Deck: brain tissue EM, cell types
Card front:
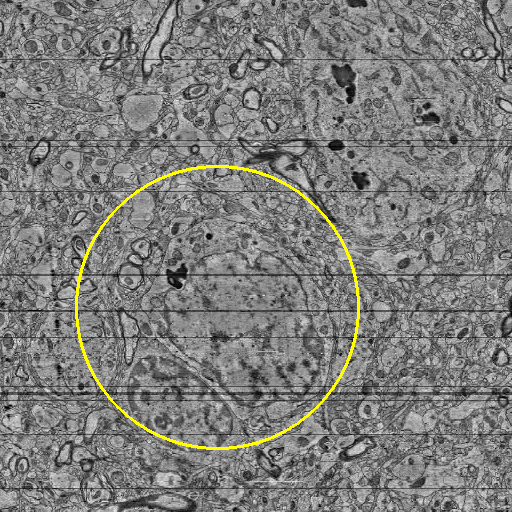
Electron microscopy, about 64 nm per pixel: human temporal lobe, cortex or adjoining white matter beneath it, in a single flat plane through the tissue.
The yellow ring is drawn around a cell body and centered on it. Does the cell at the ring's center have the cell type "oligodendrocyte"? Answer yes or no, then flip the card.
no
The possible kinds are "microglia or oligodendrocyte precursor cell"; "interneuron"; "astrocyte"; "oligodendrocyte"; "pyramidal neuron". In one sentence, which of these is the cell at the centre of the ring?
The cell at the middle of the ring is an interneuron.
